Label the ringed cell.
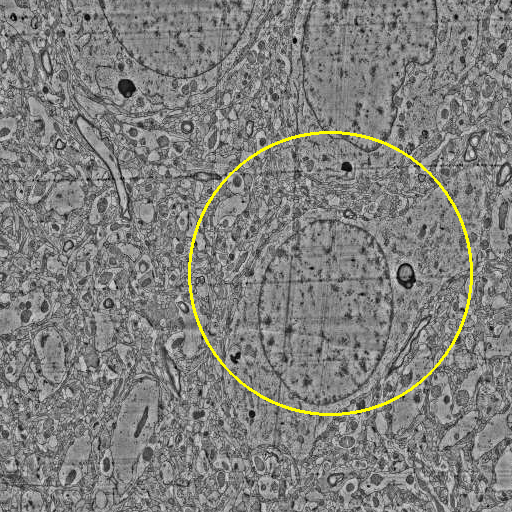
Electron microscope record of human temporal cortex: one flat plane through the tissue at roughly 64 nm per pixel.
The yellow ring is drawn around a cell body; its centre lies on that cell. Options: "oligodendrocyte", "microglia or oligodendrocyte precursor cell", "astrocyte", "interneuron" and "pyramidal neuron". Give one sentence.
The ringed cell is a pyramidal neuron.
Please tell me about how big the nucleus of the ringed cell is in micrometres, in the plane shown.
About 12 by 9 micrometers, in this plane.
